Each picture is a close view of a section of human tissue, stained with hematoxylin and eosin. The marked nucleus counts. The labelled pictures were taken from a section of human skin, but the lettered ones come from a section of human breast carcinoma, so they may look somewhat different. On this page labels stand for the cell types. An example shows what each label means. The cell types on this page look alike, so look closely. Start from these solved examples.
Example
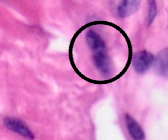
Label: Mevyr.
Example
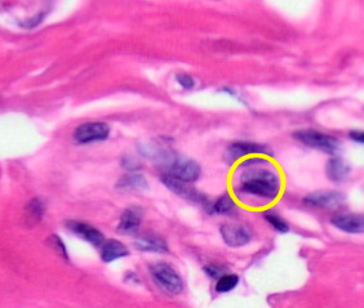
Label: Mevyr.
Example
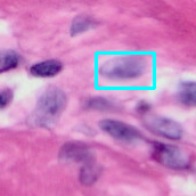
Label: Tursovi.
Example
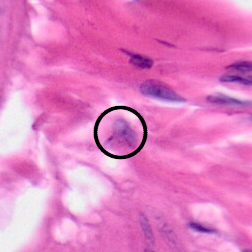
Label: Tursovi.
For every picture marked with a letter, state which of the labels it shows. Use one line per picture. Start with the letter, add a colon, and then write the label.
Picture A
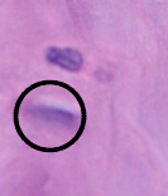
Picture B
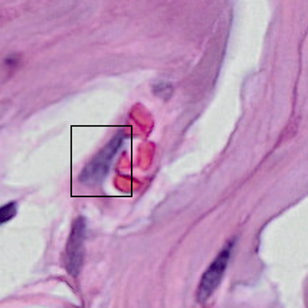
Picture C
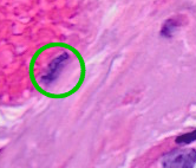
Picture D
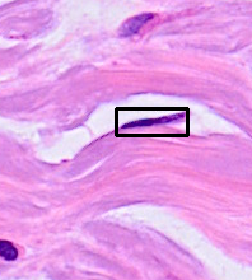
A: Tursovi.
B: Mevyr.
C: Mevyr.
D: Tursovi.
